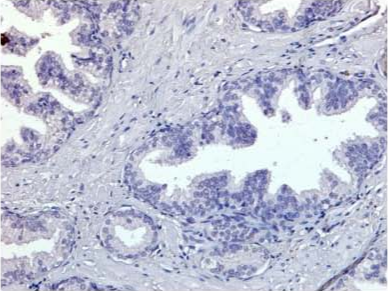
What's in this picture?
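These are prostate glands with open lumina and folded, papillary inner borders. They are lined by columnar epithelial cells whose nuclei are stained blue, and a flatter basal layer can be seen in places. The cytoplasm of the lining cells is pale, with no brown colour. Between the glands lies a fibromuscular stroma of pale pink-grey tissue containing elongated spindle-shaped nuclei. At the lower left a small round gland sits within this stroma. The glands keep a regular, lobular arrangement rather than forming solid sheets of cells.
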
